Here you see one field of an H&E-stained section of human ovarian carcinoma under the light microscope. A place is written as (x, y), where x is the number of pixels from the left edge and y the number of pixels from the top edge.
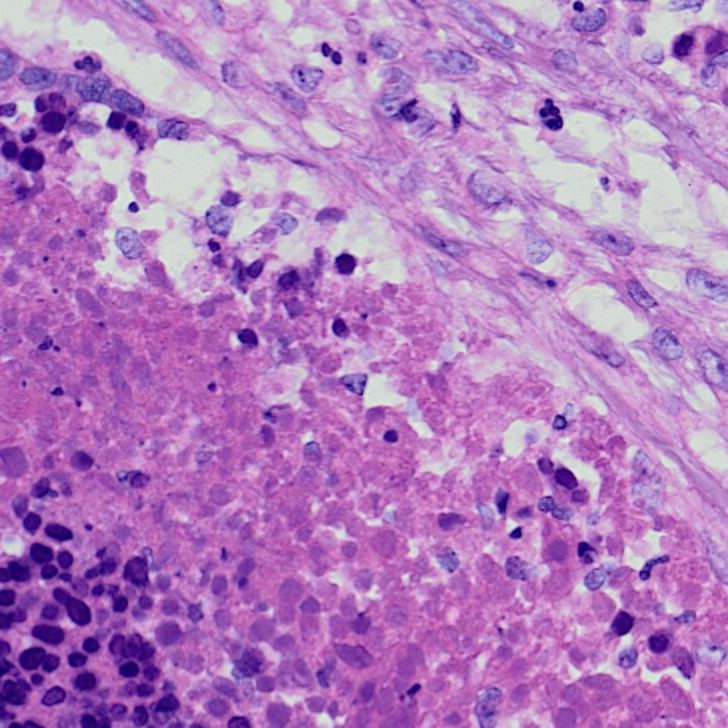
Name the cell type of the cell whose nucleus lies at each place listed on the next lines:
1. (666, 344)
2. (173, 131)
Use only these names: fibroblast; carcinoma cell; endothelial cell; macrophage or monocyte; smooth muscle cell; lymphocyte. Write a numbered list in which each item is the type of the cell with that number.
1. fibroblast
2. macrophage or monocyte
